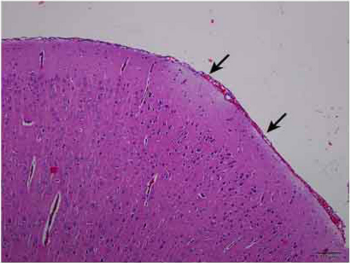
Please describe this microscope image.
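This is a section of cerebral cortex at its outer surface, stained with pink neuropil and scattered purple nuclei. Several vessels cross the tissue as elongated channels, some containing red material.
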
